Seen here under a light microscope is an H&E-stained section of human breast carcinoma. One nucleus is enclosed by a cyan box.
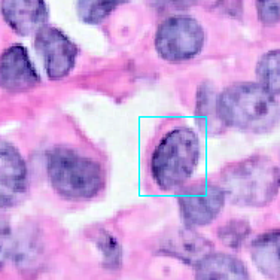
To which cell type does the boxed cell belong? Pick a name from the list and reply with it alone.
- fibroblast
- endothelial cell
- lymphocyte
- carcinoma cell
carcinoma cell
